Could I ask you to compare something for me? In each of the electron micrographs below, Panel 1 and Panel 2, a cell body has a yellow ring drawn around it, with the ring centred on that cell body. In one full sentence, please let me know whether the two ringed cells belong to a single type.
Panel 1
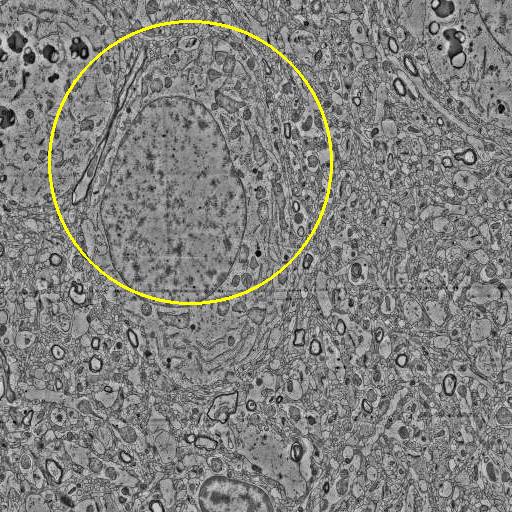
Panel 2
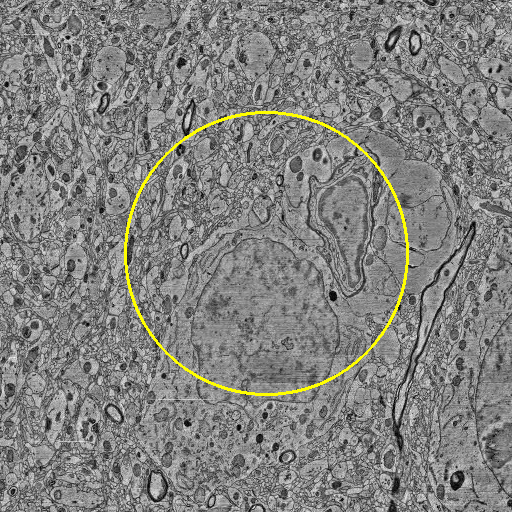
Yes, the two cells at the centres of the rings are of one type.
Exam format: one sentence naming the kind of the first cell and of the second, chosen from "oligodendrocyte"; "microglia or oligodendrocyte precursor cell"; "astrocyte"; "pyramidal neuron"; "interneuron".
Each of the two rings surrounds an interneuron.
